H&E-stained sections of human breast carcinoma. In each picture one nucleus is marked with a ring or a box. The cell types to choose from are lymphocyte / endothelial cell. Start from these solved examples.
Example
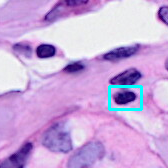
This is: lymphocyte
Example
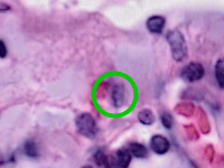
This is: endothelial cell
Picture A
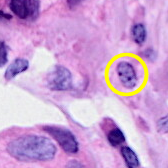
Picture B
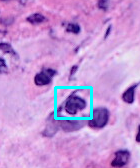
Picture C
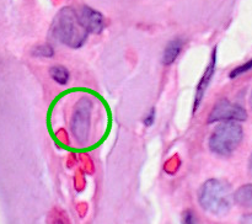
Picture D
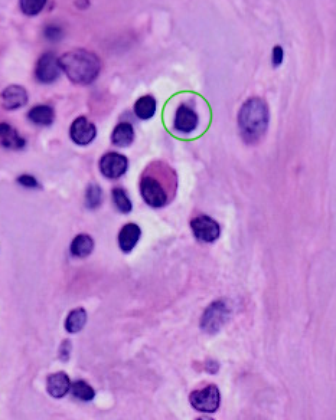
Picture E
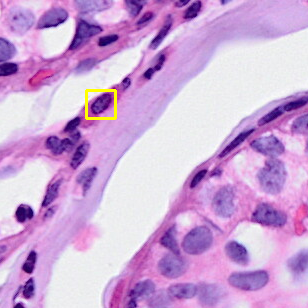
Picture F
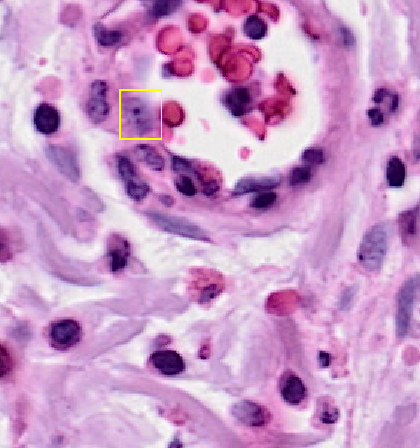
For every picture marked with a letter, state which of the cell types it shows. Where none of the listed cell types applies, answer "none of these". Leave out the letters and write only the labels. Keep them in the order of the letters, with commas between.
none of these, lymphocyte, endothelial cell, lymphocyte, none of these, endothelial cell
